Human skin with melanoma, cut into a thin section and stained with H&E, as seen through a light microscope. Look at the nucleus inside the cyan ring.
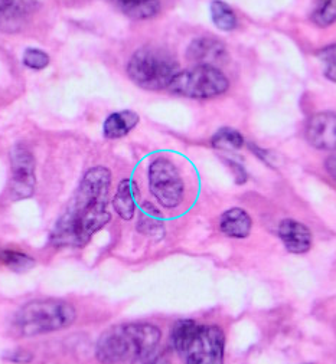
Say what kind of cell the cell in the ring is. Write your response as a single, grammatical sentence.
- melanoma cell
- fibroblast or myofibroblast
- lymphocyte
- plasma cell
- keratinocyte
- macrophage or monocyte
The identity of the cell in the ring: it is a melanoma cell.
